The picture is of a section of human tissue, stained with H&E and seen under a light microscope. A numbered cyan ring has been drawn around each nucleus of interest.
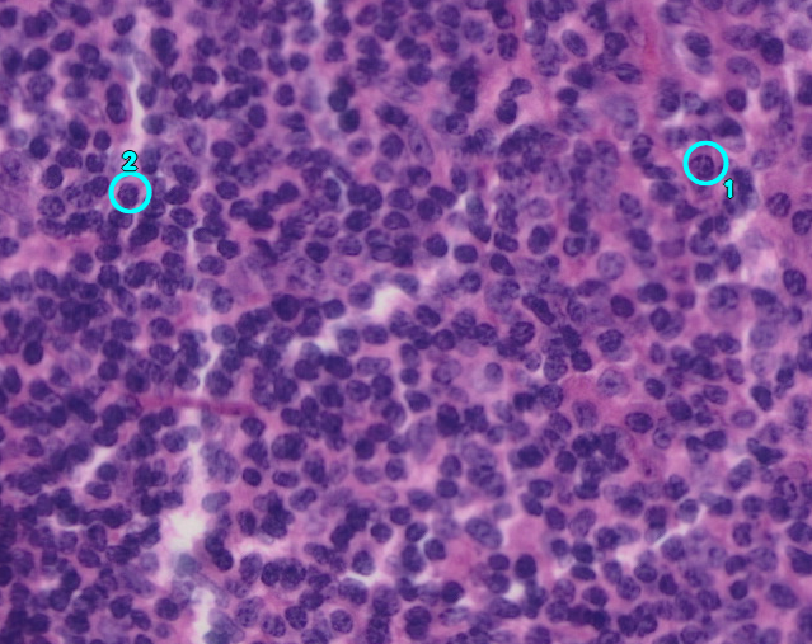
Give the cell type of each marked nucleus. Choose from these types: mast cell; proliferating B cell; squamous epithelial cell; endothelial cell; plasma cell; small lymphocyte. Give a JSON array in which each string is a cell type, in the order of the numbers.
["plasma cell", "small lymphocyte"]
